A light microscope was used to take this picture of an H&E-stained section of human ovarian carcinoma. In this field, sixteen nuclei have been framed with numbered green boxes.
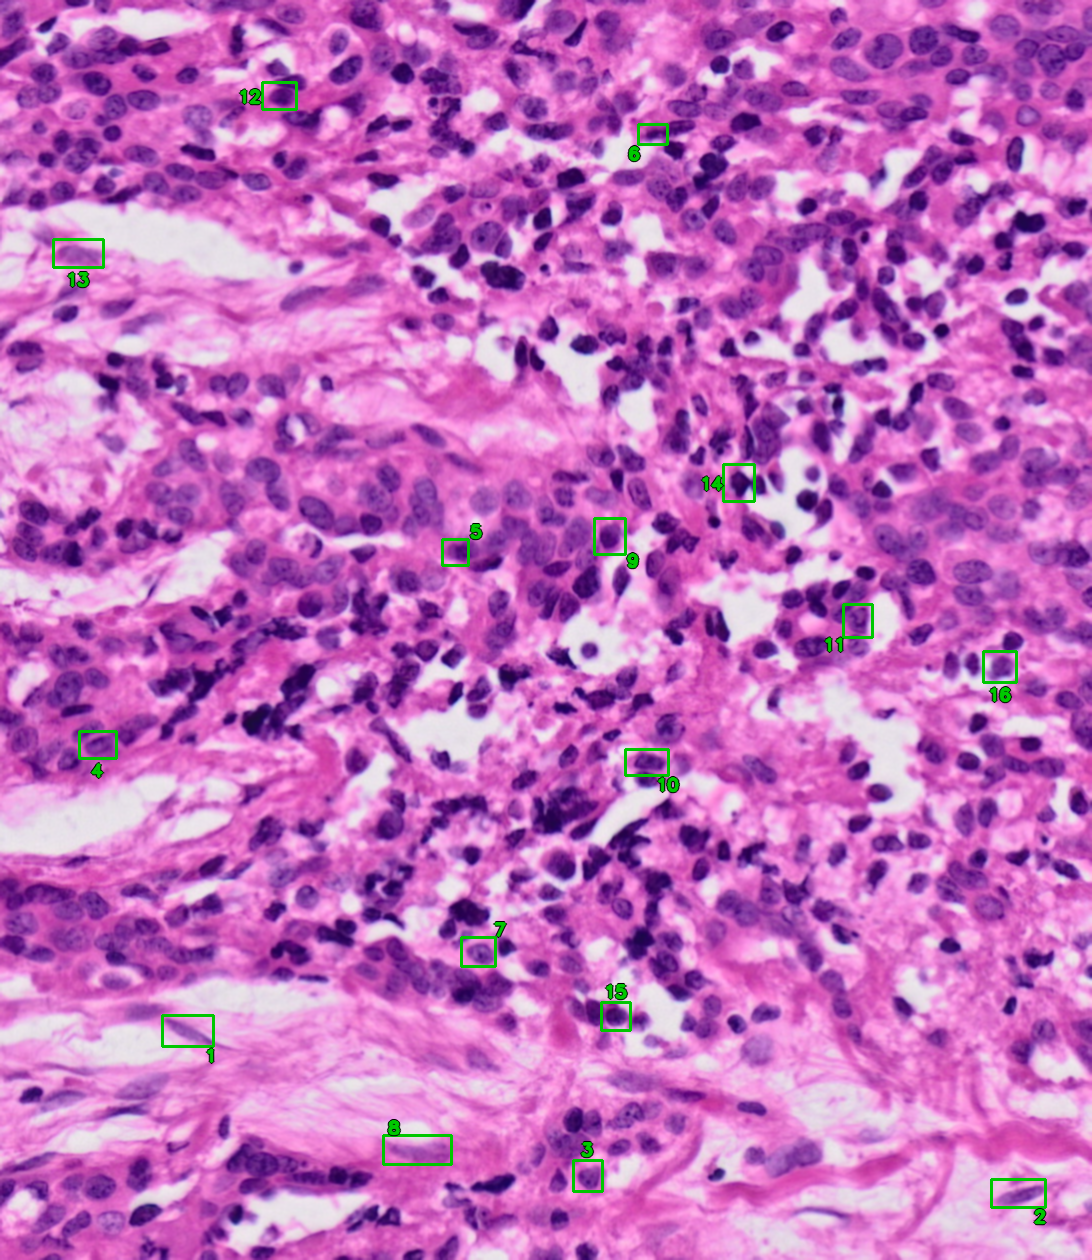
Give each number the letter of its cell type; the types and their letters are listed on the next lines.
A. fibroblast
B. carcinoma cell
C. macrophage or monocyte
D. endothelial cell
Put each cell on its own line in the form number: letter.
1: A
2: A
3: C
4: B
5: B
6: B
7: C
8: A
9: B
10: C
11: B
12: B
13: A
14: B
15: B
16: B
